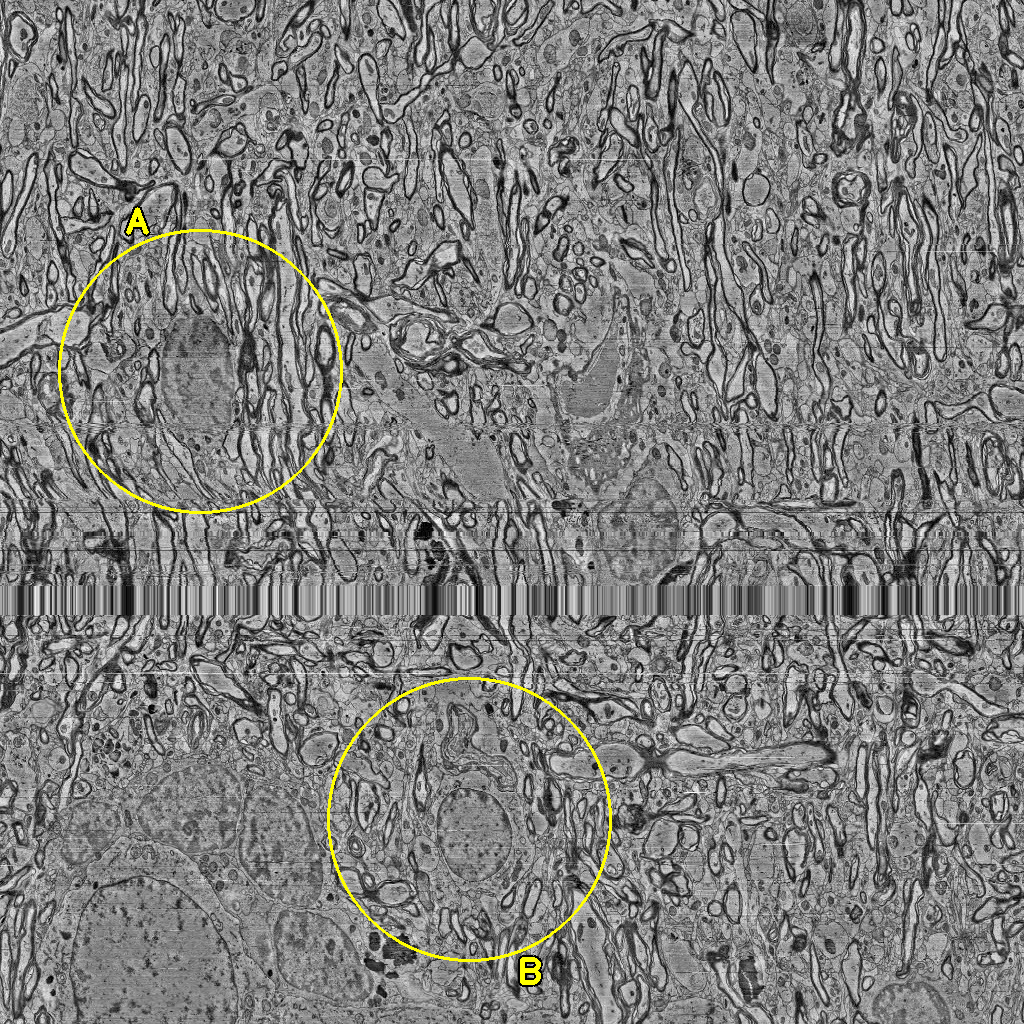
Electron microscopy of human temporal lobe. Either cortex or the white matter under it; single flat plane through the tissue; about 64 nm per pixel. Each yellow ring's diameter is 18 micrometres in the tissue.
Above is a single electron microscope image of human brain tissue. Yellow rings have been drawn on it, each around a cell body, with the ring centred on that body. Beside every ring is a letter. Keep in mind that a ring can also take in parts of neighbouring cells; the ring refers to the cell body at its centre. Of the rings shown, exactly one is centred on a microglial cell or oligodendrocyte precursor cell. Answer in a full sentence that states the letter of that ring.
The cell at the centre of ring B is the one asked for.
